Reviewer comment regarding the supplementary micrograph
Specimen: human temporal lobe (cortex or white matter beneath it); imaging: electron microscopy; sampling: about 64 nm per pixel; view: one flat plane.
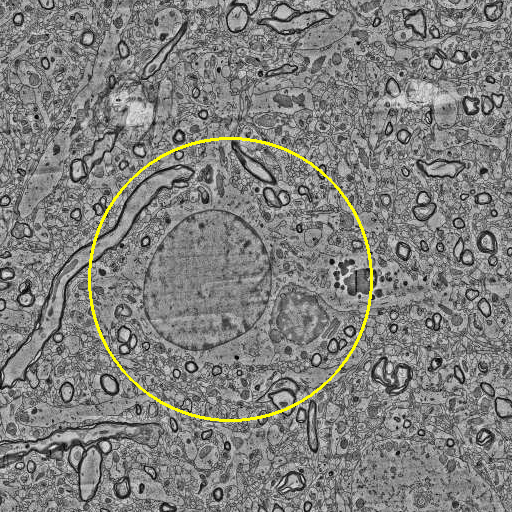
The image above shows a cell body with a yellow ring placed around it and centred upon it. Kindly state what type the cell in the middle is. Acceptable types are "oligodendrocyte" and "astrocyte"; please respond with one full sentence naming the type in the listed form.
In the image above, the cell on which the yellow ring is centred is an astrocyte.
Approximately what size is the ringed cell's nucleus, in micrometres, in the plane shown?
The nucleus appears roughly 9 by 8 micrometres in this plane.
